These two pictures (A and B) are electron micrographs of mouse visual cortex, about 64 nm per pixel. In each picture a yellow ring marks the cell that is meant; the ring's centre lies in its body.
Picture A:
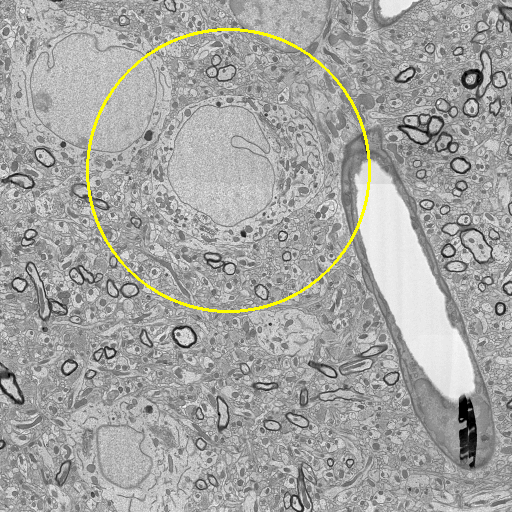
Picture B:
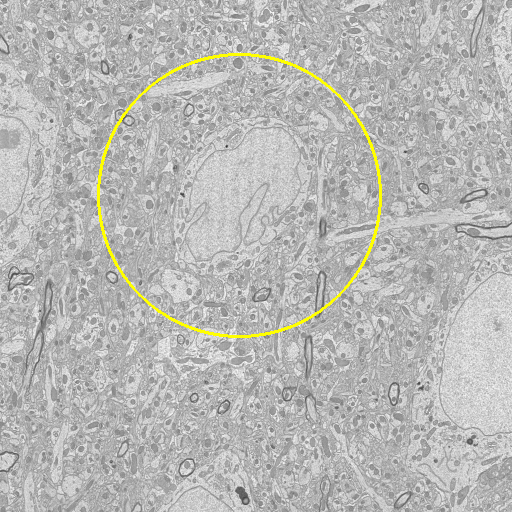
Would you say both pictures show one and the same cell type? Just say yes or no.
yes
